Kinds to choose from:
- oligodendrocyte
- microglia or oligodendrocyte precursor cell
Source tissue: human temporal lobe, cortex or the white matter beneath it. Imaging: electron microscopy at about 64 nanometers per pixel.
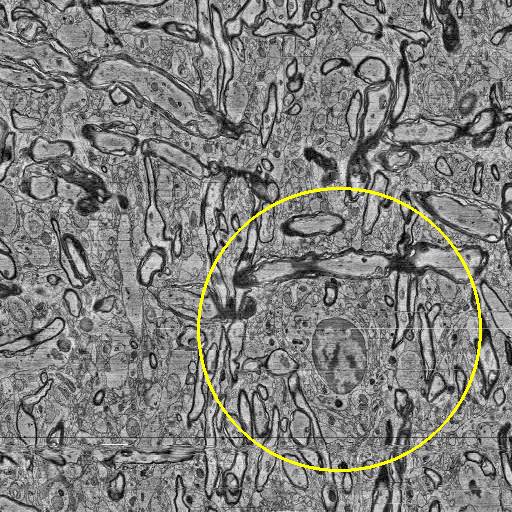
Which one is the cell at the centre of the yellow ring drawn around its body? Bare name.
microglia or oligodendrocyte precursor cell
